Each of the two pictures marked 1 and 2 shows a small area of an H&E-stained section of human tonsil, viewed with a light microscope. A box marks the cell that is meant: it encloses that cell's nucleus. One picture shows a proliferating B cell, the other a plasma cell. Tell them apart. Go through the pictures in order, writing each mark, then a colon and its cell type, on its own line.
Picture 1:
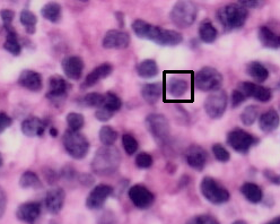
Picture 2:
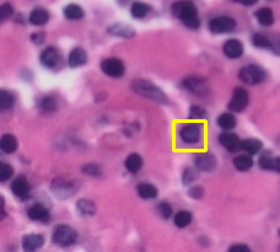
1: proliferating B cell
2: plasma cell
